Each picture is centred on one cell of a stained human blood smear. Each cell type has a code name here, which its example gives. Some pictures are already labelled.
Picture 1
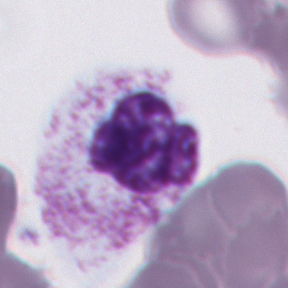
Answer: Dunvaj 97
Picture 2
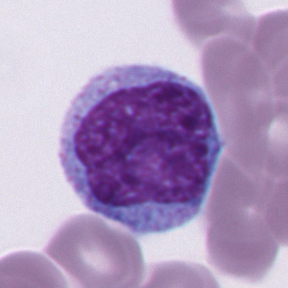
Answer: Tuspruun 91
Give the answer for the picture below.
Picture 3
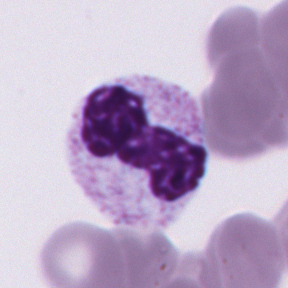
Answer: Dunvaj 97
